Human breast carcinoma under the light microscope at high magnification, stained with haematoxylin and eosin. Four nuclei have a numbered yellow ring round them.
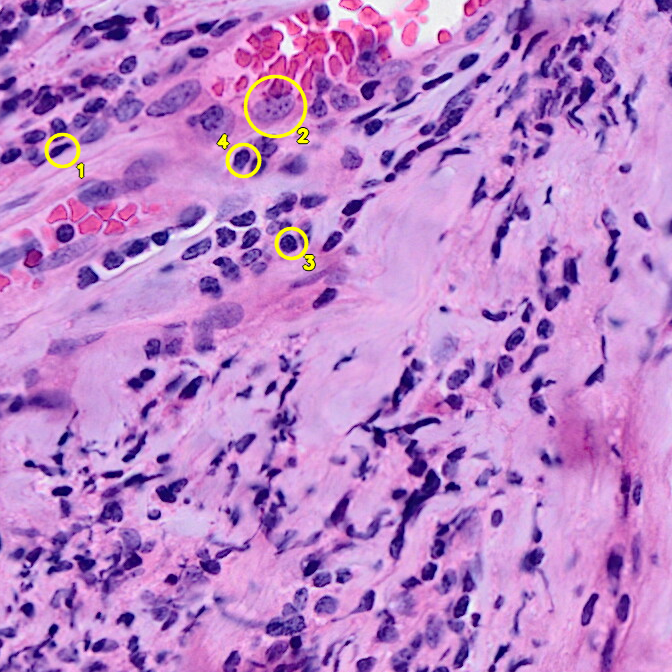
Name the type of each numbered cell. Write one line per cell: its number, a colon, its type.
1: lymphocyte
2: endothelial cell
3: lymphocyte
4: lymphocyte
